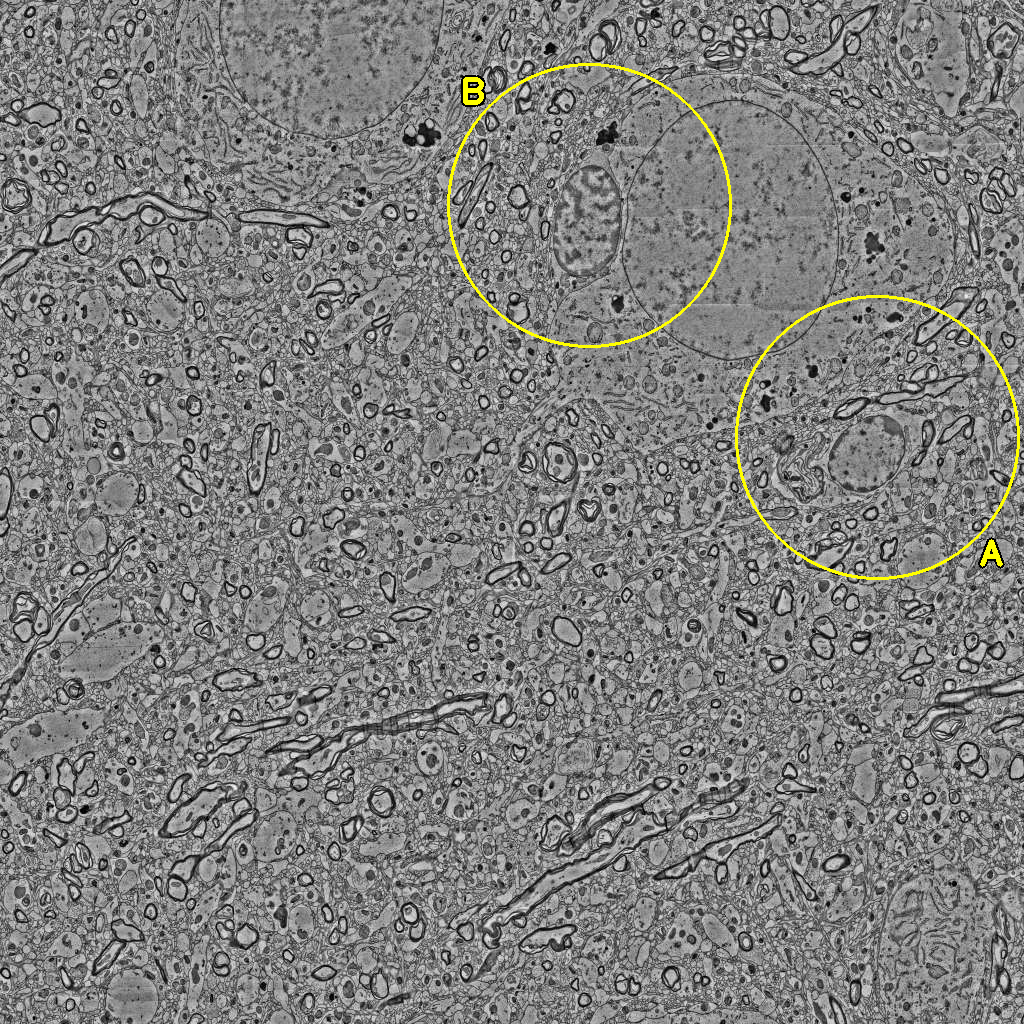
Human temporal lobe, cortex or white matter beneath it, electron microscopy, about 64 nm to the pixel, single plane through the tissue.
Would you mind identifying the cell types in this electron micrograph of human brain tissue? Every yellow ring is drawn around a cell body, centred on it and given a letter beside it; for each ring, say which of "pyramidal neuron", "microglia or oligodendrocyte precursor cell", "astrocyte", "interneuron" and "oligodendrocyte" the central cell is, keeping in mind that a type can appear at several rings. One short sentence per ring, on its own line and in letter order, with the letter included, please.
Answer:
At the centre of ring A lies a microglial cell or oligodendrocyte precursor cell.
At the centre of ring B lies an oligodendrocyte.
